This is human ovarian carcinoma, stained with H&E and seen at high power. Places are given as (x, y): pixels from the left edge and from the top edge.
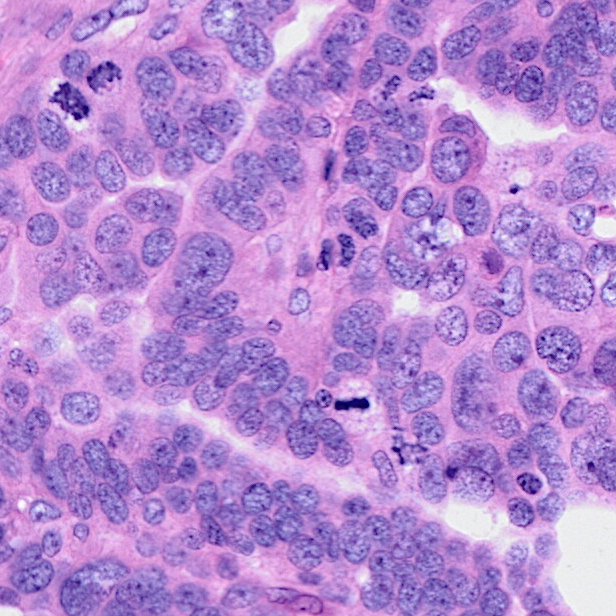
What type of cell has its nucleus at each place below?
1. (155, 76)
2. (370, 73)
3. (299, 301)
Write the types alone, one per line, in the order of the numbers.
carcinoma cell
carcinoma cell
fibroblast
